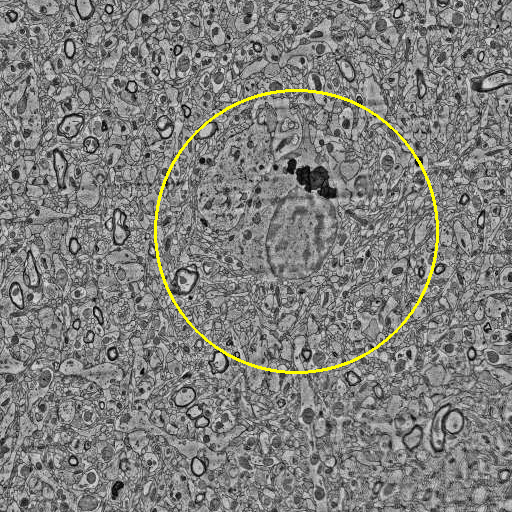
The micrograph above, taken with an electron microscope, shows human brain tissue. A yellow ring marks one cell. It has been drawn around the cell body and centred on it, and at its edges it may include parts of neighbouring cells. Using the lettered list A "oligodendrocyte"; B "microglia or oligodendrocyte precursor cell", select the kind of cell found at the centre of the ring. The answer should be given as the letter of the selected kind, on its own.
A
